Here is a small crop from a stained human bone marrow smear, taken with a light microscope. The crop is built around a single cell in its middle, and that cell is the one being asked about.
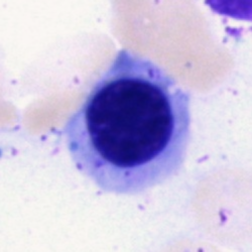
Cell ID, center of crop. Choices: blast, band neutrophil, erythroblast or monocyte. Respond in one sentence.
The cell at the middle of the frame should be recorded as an erythroblast.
